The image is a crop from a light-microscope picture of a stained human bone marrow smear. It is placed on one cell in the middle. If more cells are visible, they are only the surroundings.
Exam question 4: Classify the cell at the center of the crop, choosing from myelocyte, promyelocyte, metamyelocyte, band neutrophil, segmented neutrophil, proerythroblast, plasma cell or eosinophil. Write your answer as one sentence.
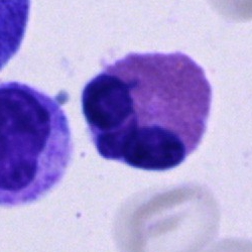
The middle position in this crop is taken by an eosinophil.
